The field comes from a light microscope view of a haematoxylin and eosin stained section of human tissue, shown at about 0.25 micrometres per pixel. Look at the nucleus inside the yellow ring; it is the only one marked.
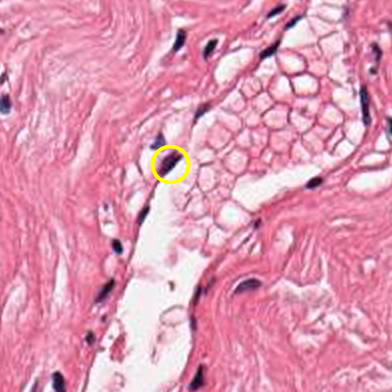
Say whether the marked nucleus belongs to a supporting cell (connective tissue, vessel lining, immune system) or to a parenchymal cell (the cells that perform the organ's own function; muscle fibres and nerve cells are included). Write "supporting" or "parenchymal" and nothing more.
supporting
